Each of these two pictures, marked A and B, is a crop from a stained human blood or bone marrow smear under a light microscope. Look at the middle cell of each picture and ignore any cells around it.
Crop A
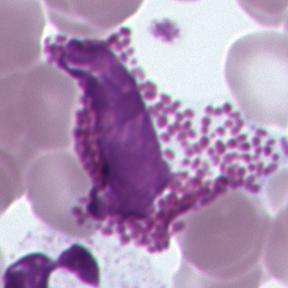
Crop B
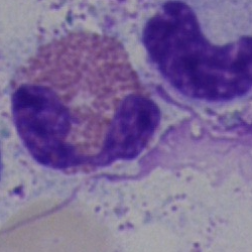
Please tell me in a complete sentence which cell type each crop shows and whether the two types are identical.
Yes, the cells placed at the centre of both crops are eosinophils.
